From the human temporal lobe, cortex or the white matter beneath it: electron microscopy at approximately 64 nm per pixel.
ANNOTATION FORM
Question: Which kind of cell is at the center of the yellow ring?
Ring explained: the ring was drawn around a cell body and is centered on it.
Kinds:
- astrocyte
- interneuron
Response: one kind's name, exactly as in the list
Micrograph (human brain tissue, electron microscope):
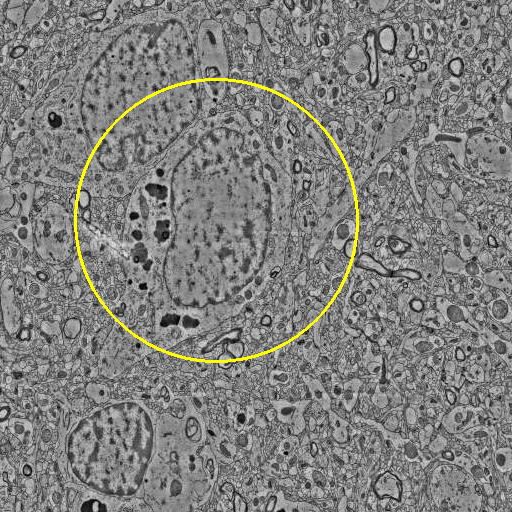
interneuron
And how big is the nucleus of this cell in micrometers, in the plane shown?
In this plane, the nucleus of the cell at the centre of the ring measures about 12 by 7 micrometres.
